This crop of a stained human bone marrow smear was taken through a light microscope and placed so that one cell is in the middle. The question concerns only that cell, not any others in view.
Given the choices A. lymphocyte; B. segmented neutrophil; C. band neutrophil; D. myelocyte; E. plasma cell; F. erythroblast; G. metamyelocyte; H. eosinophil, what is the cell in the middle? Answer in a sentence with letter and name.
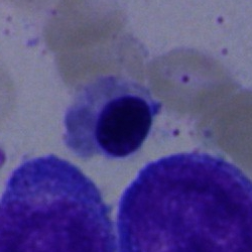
This one is option F, since the cell at the center is an erythroblast.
